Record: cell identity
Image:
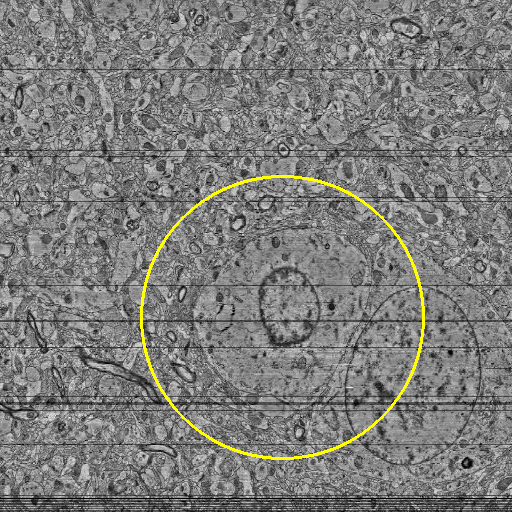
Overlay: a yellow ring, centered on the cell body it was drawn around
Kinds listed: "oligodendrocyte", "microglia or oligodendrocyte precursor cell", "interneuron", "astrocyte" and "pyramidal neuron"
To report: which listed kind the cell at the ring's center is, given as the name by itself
pyramidal neuron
